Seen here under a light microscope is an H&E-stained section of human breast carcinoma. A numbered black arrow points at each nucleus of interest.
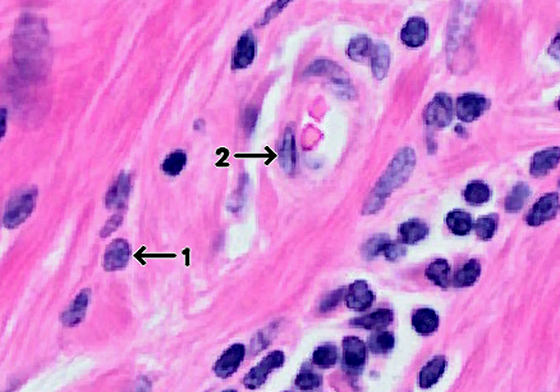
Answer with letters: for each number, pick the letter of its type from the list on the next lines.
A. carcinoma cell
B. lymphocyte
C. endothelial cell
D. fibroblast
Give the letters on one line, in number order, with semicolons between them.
B; C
